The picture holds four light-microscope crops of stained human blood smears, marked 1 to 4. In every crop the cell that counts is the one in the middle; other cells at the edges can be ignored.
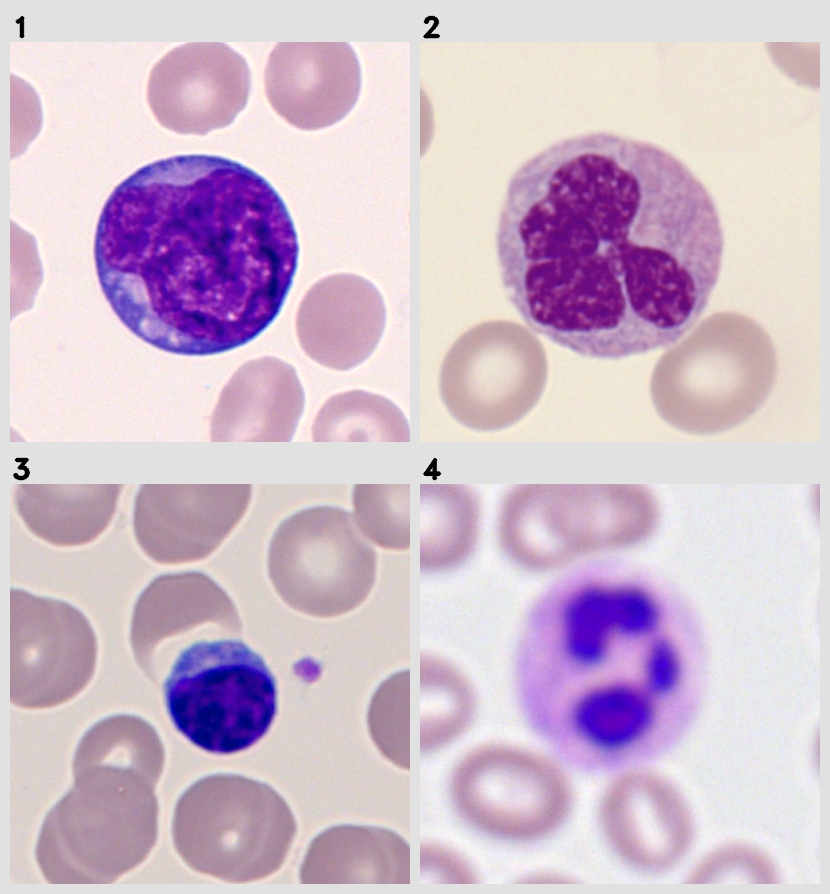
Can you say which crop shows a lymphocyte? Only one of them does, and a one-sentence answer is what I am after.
It is crop 3, not any other, that shows a lymphocyte.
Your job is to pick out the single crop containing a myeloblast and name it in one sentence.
The sole crop showing a myeloblast is crop 1.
